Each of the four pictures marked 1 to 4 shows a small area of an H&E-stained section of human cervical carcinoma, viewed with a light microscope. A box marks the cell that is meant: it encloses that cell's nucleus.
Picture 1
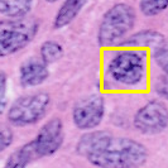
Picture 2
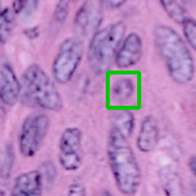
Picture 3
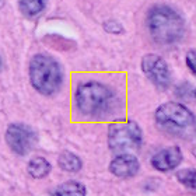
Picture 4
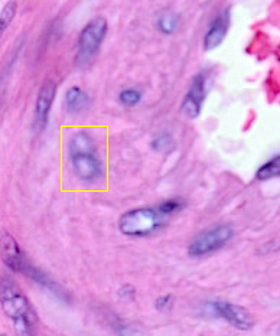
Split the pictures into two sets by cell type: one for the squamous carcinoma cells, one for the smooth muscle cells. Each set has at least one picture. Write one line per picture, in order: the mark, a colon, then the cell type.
1: squamous carcinoma cell
2: squamous carcinoma cell
3: squamous carcinoma cell
4: smooth muscle cell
